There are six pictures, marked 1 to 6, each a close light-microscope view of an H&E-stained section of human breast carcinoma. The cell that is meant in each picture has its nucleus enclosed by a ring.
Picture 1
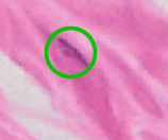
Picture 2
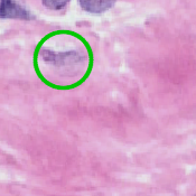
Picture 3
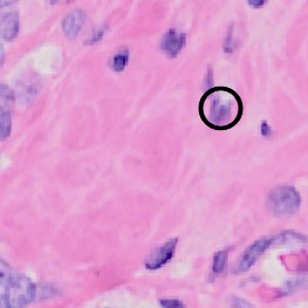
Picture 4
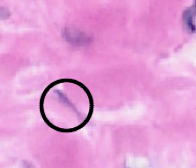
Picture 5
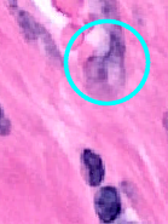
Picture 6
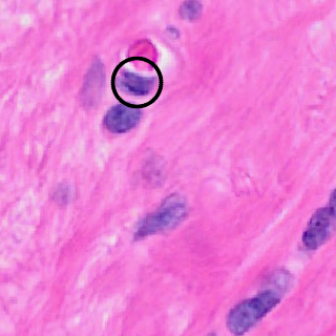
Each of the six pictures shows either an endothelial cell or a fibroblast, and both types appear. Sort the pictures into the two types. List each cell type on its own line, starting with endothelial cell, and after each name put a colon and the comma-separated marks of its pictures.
endothelial cell: 3, 5, 6
fibroblast: 1, 2, 4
